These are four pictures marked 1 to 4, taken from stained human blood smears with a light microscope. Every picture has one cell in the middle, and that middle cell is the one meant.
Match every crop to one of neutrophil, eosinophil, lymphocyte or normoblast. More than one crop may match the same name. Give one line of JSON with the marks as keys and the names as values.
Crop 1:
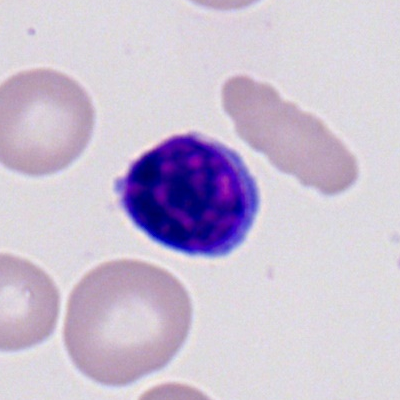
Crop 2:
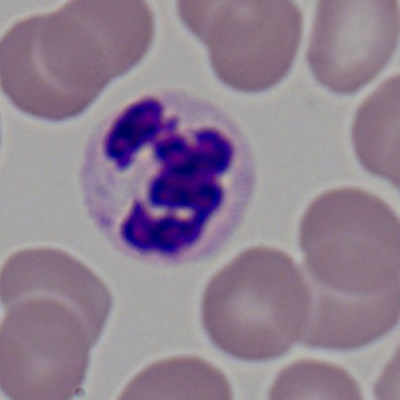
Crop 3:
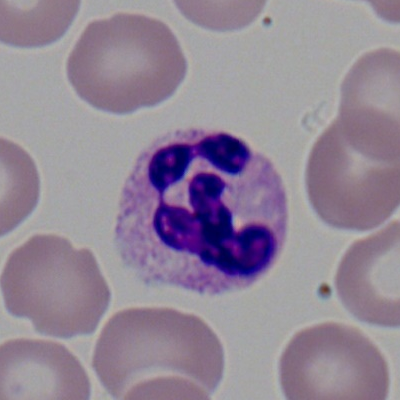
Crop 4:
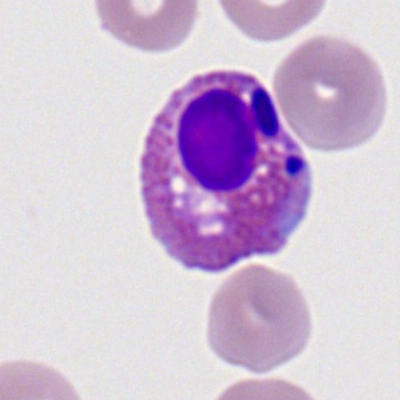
{"1": "lymphocyte", "2": "neutrophil", "3": "neutrophil", "4": "eosinophil"}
